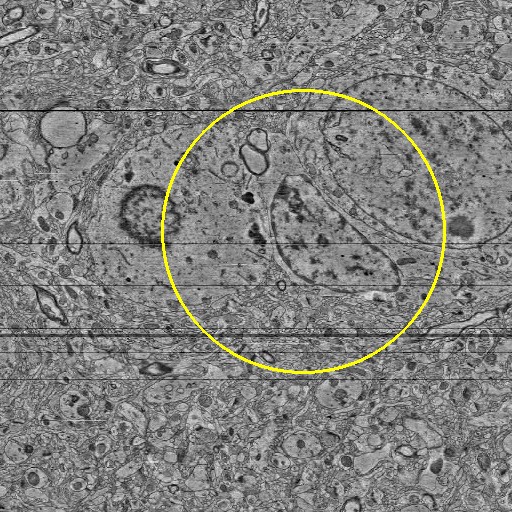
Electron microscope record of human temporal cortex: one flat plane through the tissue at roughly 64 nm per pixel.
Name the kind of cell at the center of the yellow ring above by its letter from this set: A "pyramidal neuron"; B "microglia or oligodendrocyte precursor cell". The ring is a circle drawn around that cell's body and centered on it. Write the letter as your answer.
B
